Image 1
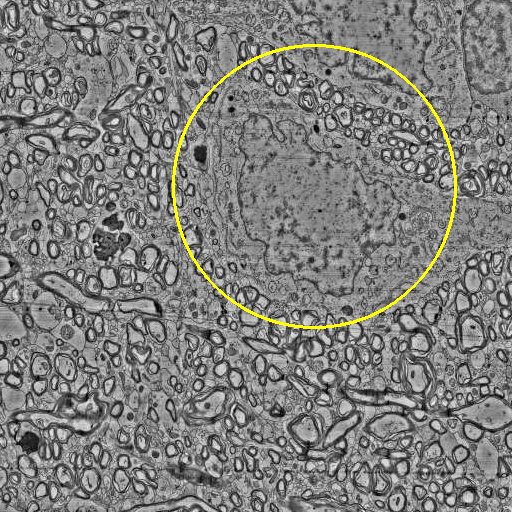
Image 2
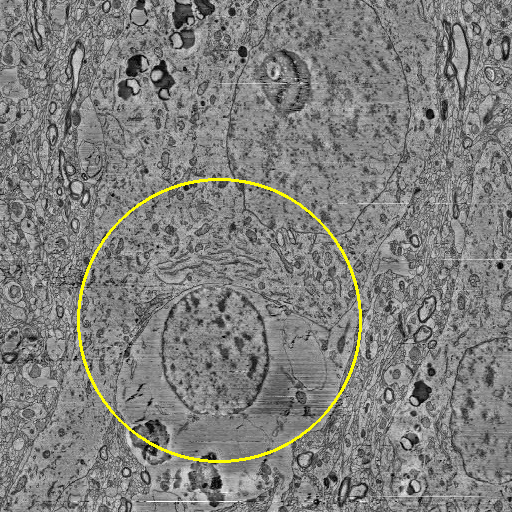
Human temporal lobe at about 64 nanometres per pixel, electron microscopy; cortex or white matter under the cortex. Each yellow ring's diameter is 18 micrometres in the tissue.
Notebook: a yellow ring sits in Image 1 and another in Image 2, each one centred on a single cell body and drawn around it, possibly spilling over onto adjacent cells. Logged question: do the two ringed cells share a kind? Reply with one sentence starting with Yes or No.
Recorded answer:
No, the centre cells inside the rings of Image 1 and Image 2 are of two kinds.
